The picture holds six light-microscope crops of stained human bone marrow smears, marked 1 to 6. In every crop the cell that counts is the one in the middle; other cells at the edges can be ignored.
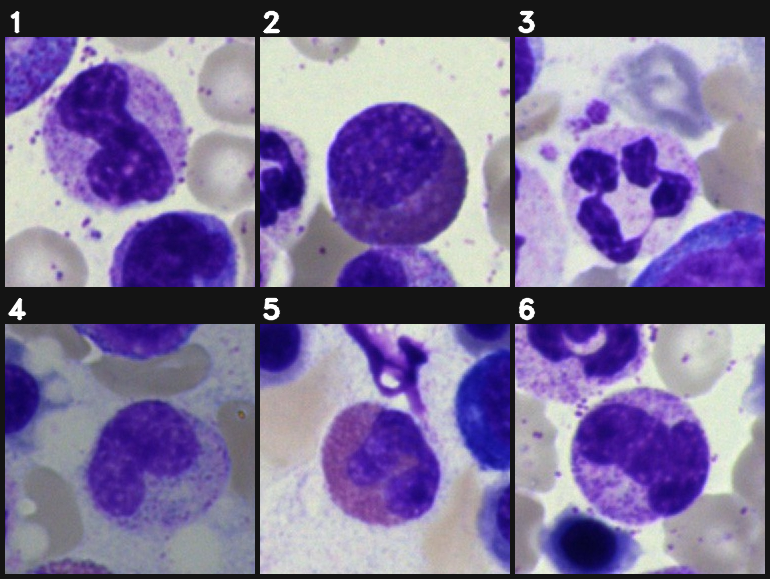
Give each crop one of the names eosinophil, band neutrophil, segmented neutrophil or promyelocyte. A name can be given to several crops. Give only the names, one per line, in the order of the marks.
band neutrophil
eosinophil
segmented neutrophil
band neutrophil
eosinophil
band neutrophil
